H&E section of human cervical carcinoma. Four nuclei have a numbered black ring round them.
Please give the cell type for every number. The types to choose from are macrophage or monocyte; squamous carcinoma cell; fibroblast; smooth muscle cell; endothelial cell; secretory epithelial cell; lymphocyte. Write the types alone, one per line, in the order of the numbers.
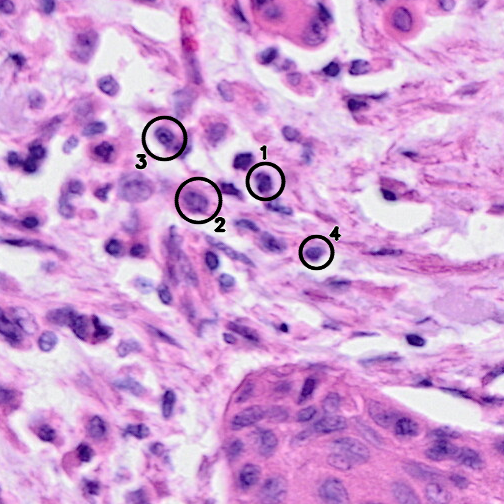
lymphocyte
macrophage or monocyte
lymphocyte
lymphocyte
